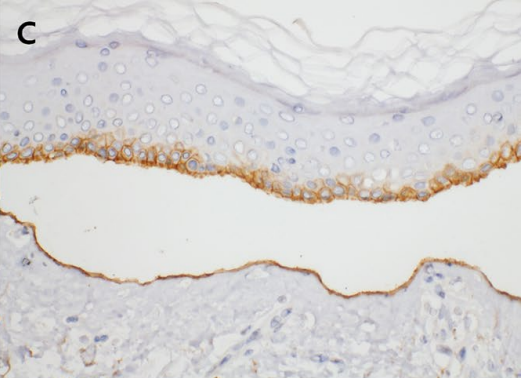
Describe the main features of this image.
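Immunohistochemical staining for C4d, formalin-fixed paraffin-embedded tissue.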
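Stratified squamous epidermis with a basket-weave keratin layer is separated from the dermis by a wide empty cleft. The keratinocytes have round blue nuclei and pale cytoplasm, and the upper layers are unstained. A sharp brown line follows the basal surface of the epidermis at the dermo-epidermal junction, with brown staining around the lowest cells, and a second thin brown line lines the upper edge of the dermis. The dermis is loose and pale with scattered spindle-shaped cells.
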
